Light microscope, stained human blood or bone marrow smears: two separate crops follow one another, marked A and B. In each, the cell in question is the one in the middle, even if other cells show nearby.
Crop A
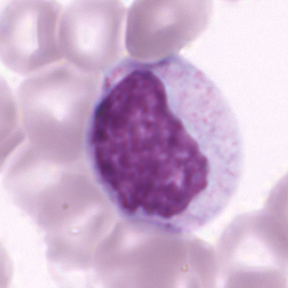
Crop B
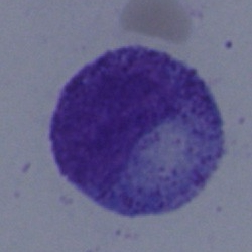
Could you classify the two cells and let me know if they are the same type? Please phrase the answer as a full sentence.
No, a promyelocyte is the cell in crop B, and crop A contains a myelocyte.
